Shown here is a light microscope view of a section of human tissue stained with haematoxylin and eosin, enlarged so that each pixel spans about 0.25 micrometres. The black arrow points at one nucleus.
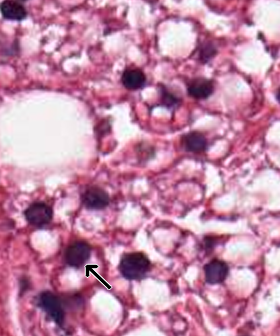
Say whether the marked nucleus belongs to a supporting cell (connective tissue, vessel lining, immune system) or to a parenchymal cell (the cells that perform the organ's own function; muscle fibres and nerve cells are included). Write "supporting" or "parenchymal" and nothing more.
parenchymal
